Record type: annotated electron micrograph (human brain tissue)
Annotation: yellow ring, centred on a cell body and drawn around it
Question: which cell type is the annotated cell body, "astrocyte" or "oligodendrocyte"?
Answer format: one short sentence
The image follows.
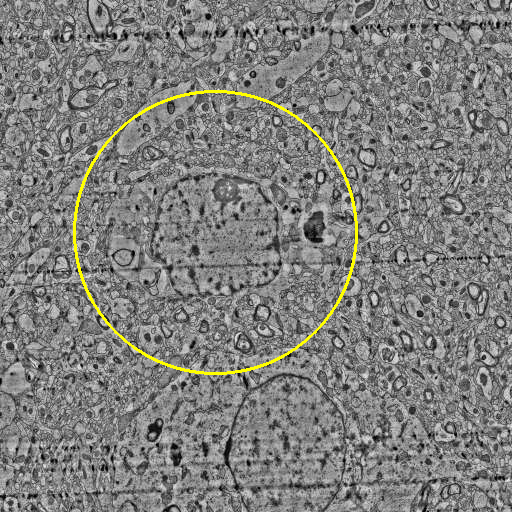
The annotated cell body is that of an astrocyte.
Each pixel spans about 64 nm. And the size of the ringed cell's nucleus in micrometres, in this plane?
The ringed cell's nucleus is about 9 micrometres across in this plane.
